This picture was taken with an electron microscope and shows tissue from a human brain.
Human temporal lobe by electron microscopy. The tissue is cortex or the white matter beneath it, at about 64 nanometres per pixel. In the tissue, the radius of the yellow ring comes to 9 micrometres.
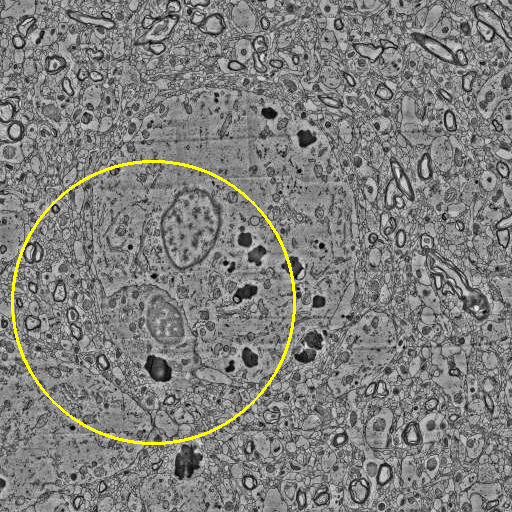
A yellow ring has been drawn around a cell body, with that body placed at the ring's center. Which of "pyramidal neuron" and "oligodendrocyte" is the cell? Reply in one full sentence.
In this picture, an oligodendrocyte is the cell at the center of the yellow ring.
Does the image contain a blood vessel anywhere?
No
